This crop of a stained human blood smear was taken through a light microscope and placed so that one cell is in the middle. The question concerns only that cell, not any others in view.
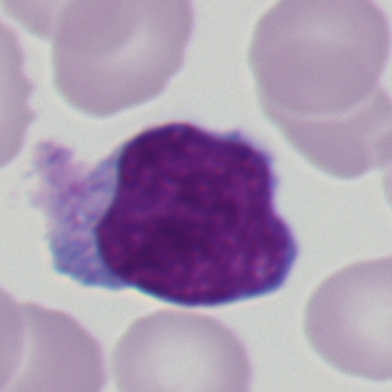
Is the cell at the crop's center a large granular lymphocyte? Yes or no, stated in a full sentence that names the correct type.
No, the label for the central cell is a typical lymphocyte, not a large granular lymphocyte.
